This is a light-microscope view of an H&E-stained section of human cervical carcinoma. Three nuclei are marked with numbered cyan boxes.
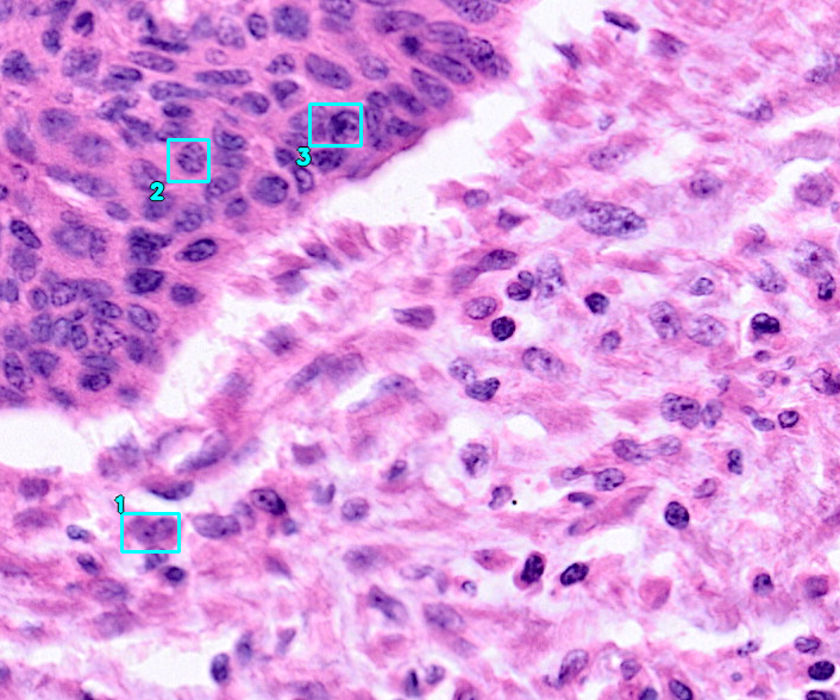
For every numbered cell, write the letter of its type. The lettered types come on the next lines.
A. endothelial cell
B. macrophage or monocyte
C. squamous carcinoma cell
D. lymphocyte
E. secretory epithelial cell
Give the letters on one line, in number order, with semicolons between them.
B; C; C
